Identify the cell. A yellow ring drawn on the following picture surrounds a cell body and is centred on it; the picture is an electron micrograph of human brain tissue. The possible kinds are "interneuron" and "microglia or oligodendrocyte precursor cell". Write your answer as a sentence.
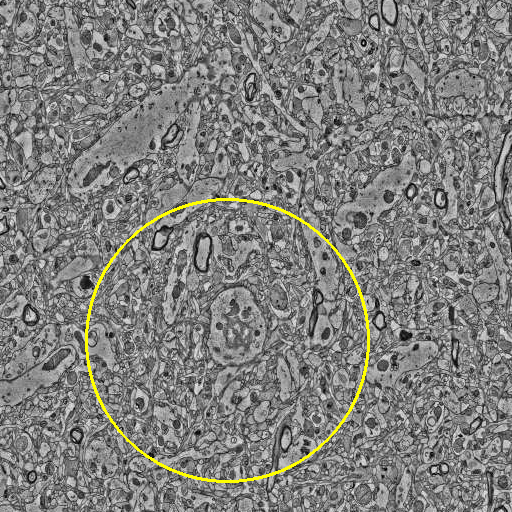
The cell identified by the ring is an interneuron.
